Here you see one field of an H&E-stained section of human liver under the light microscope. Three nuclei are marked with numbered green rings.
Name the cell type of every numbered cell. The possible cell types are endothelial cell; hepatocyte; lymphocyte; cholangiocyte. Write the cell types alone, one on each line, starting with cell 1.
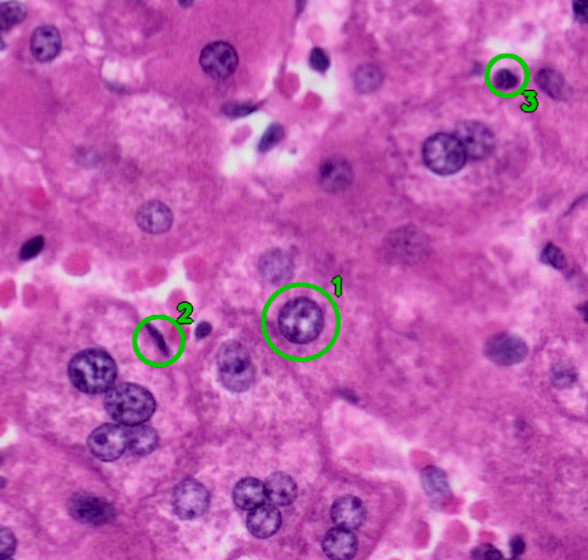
hepatocyte
endothelial cell
lymphocyte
